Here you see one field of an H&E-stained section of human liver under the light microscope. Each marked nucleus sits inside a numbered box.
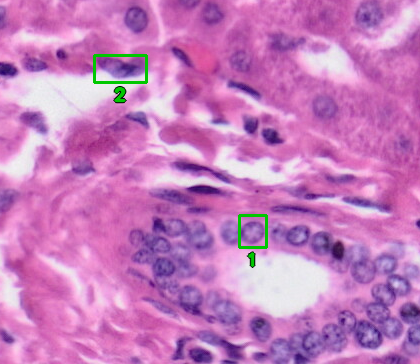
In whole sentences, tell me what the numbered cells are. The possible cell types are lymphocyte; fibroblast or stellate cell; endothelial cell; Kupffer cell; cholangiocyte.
Cell 1 is a cholangiocyte. Cell 2 is a fibroblast or stellate cell.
